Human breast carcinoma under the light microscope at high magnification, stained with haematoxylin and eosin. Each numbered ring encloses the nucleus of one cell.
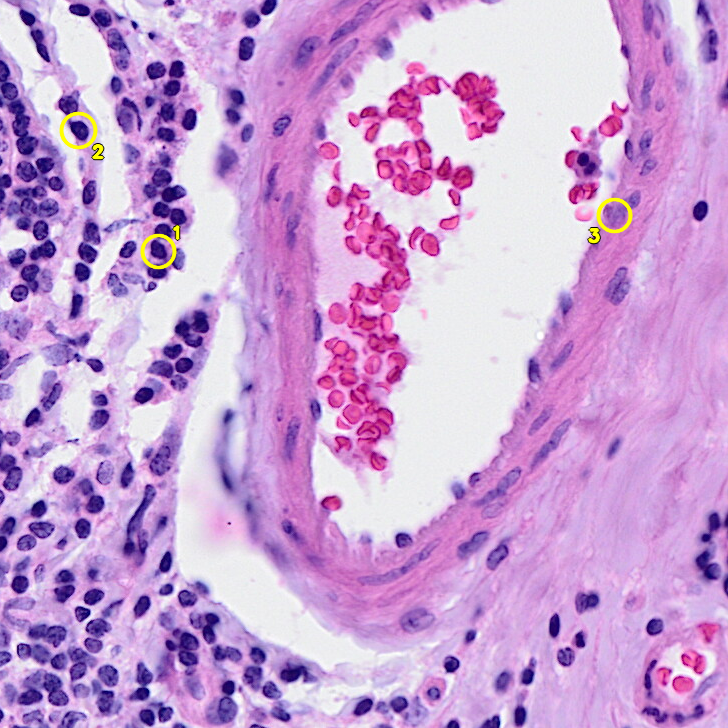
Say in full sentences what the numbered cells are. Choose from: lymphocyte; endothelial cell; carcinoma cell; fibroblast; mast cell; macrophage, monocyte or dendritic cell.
Cell 1 is a lymphocyte, cell 2 is a lymphocyte and cell 3 is an endothelial cell.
